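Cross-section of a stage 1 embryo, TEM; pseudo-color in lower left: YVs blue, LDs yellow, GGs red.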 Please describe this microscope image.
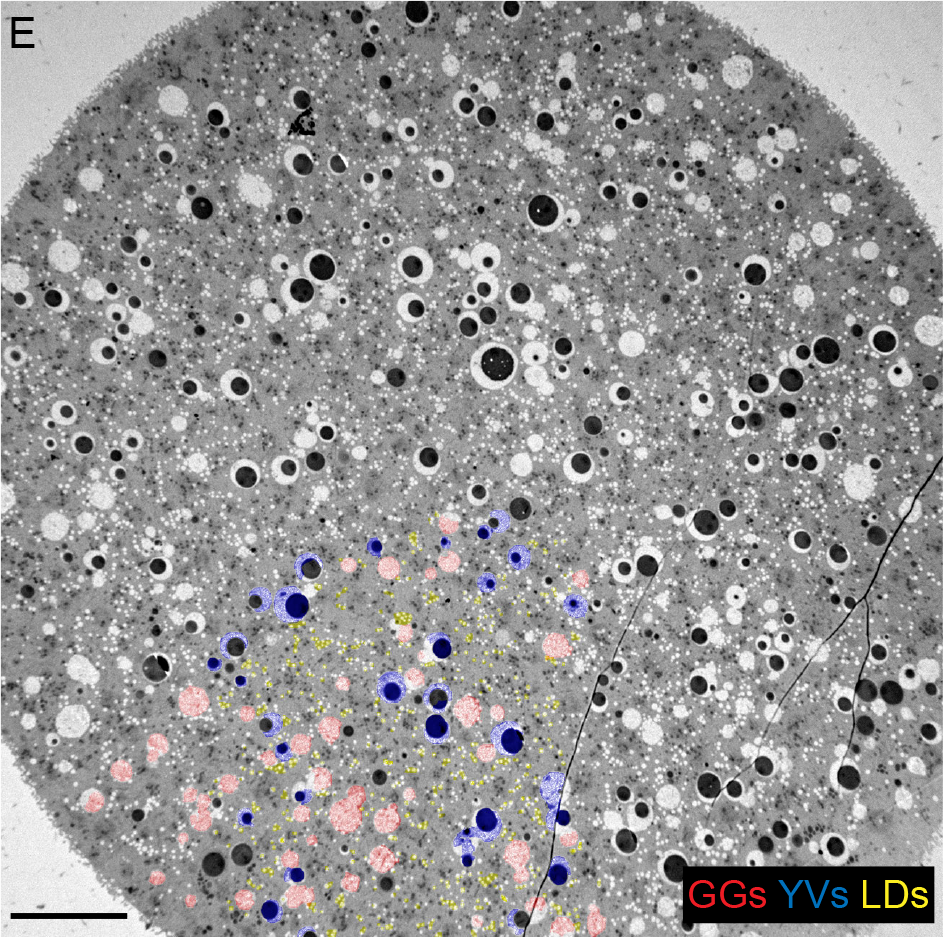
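Round bodies of many sizes are seen: dark electron-dense spheres often with pale rims, larger pale grey granular circles, and numerous tiny white droplets. No cell boundaries divide the cytoplasm.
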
